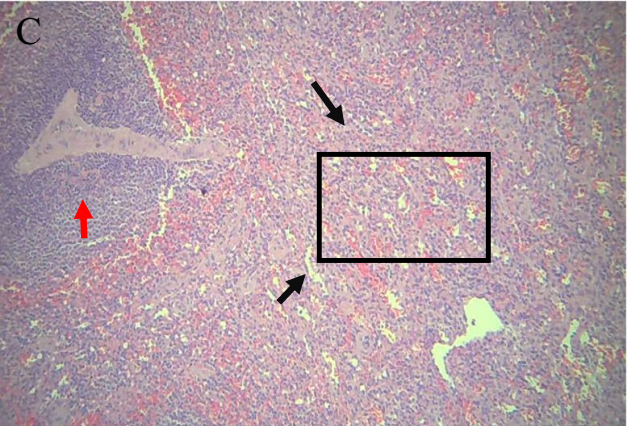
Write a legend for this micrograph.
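This is a low-power view of spleen with a lymphoid follicle at the left and red pulp across the rest of the field. The follicle is a dense blue mass of small round nuclei surrounding a pale pink band-like structure. The red pulp to the right is full of red blood cells and is riddled with many small irregular channels, some clear and some blood-filled, separated by cellular strands with purple nuclei. A few larger pale spaces appear at the lower right. Overall the red pulp looks crowded with vascular spaces rather than showing its usual cords and sinuses.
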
